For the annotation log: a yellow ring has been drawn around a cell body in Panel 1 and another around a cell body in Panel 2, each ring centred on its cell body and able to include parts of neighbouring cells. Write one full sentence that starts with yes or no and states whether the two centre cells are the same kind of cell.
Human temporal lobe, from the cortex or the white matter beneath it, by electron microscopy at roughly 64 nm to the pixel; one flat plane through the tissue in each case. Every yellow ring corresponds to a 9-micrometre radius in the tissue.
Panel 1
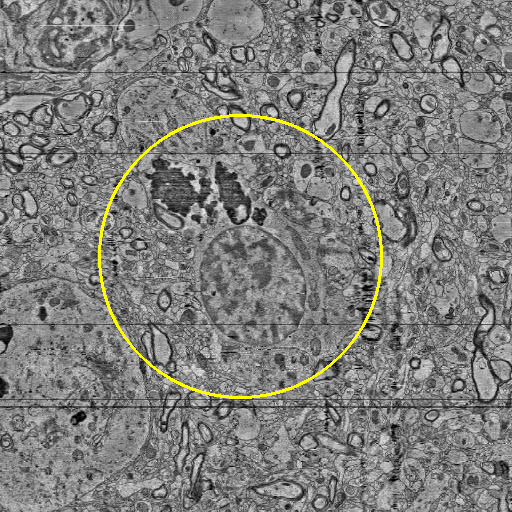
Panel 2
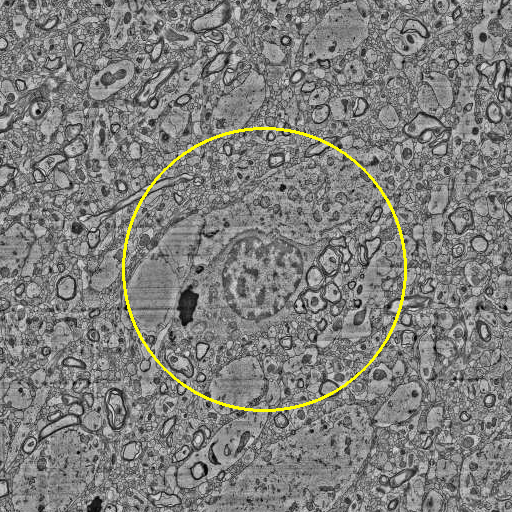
Yes, the two centre cells are the same kind of cell.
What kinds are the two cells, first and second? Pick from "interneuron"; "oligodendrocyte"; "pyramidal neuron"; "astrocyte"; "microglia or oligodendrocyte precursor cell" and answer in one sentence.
In both pictures the ring is centred on an oligodendrocyte.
